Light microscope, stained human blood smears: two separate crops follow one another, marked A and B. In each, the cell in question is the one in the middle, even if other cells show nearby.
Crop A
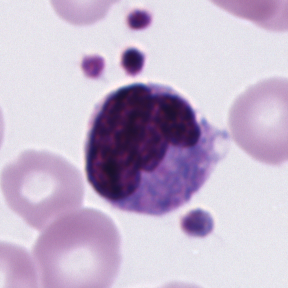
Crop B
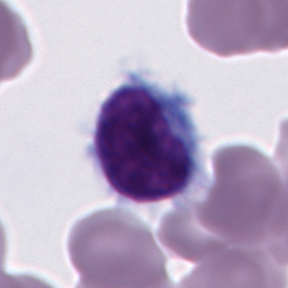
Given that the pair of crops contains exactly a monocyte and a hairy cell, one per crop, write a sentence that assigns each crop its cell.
For crop A the cell is a monocyte, and for crop B it is a hairy cell.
